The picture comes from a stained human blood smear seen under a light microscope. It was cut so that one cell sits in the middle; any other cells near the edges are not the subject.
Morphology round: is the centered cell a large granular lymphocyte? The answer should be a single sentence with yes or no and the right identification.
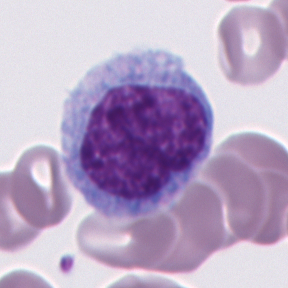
No, the centre cell counts as a monocyte, not as a large granular lymphocyte.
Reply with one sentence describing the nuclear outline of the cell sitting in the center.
One compact mass makes up the whole nucleus, round, oval or kidney-shaped.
